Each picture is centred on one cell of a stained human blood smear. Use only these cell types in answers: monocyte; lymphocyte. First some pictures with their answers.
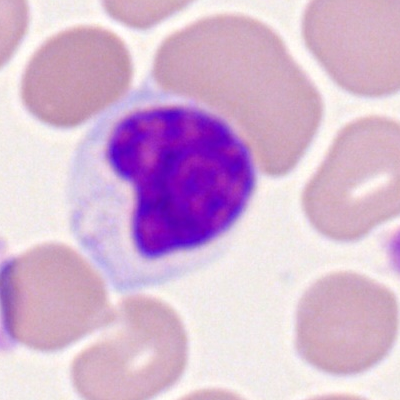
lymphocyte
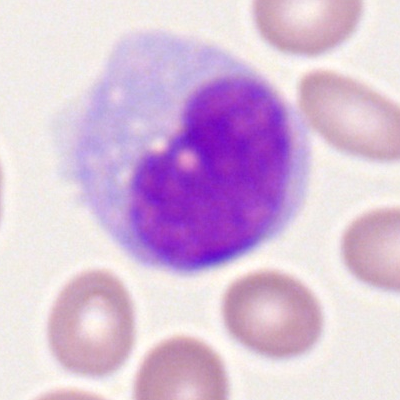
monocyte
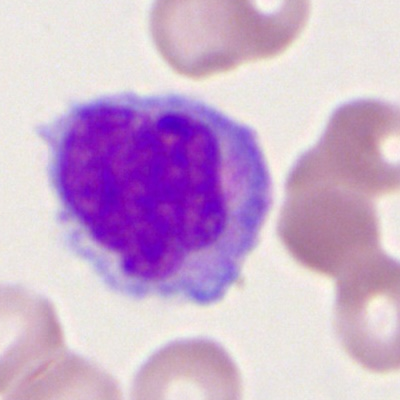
monocyte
